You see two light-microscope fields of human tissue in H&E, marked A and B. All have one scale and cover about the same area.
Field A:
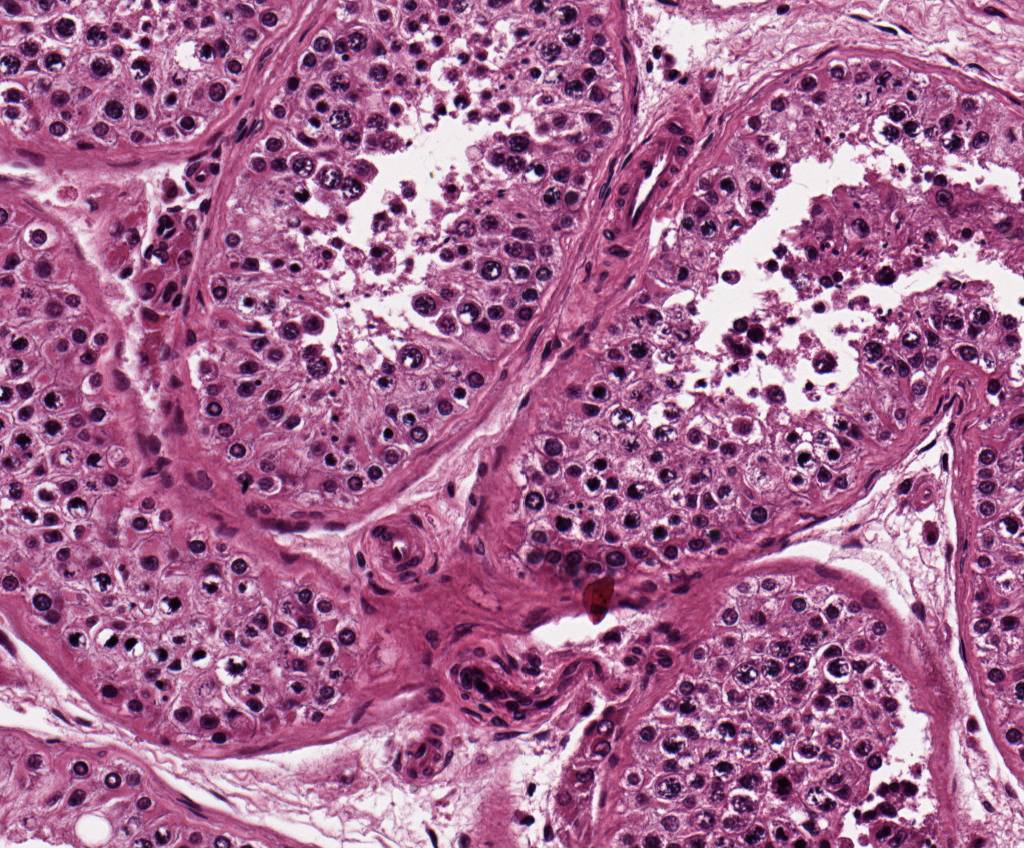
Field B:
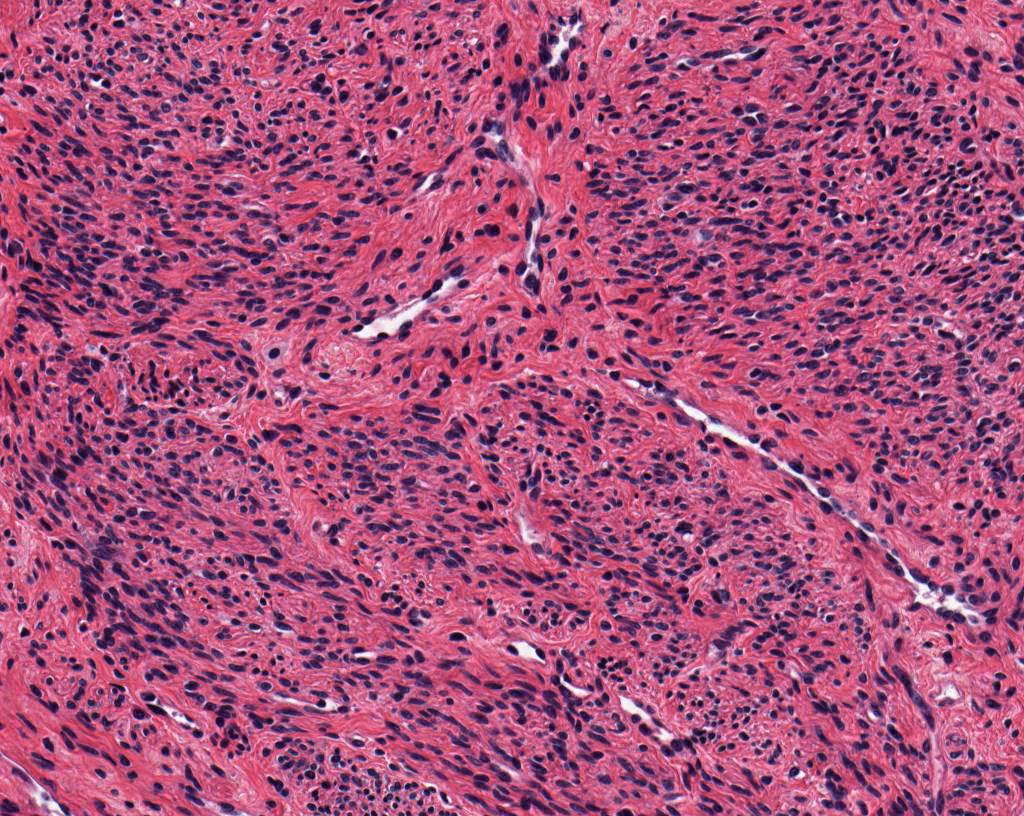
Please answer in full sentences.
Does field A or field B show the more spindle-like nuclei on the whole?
It is field B whose nuclei are the more elongated.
